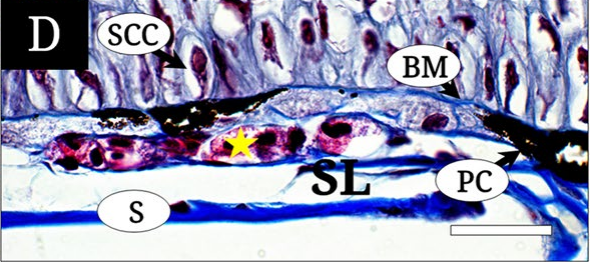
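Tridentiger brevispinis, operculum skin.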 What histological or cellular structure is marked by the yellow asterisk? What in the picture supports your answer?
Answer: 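Red-stained oval cells with dark nuclei are grouped at the asterisk. They lie in a small space just beneath the epithelium, above a blue-stained band.
Blood capillaries.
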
